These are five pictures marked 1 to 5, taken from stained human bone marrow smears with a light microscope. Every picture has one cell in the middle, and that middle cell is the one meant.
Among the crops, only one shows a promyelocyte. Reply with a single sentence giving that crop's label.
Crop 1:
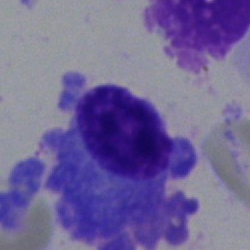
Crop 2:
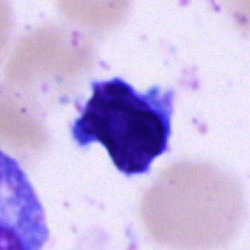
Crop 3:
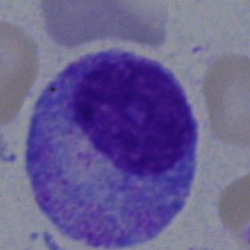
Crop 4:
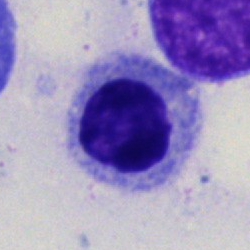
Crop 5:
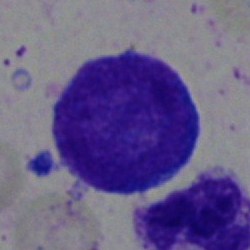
The requested cell, a promyelocyte, is the one in crop 3.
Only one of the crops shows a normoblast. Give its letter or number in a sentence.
The crop carrying a normoblast at the center is crop 4.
